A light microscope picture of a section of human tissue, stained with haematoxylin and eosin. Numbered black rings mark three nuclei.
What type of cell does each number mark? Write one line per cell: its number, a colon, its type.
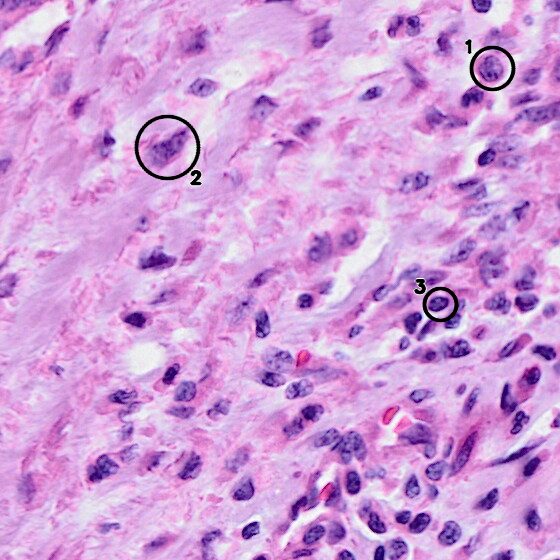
1: macrophage or monocyte
2: macrophage or monocyte
3: lymphocyte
